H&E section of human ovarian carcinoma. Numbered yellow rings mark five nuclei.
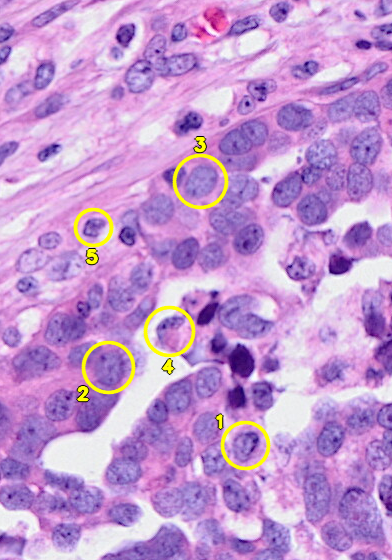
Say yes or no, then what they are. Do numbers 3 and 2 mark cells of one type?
Yes, both are carcinoma cells.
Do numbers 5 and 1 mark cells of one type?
No, cell 5 is a lymphocyte and cell 1 is a macrophage or monocyte.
